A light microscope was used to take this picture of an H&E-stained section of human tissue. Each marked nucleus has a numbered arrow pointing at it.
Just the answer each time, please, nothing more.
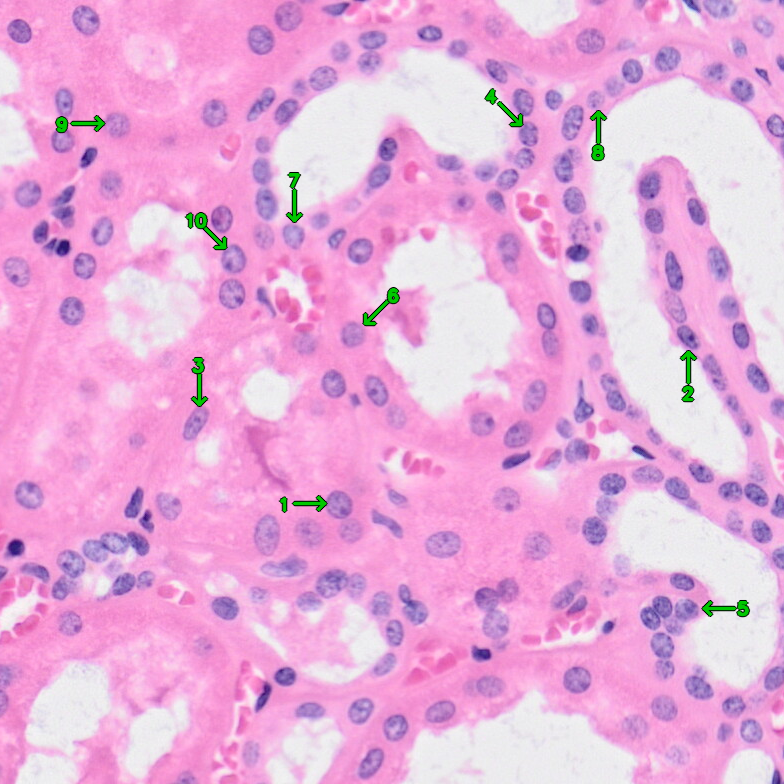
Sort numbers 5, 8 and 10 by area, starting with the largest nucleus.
10, 5, 8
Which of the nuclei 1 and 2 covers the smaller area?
2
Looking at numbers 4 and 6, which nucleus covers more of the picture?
6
